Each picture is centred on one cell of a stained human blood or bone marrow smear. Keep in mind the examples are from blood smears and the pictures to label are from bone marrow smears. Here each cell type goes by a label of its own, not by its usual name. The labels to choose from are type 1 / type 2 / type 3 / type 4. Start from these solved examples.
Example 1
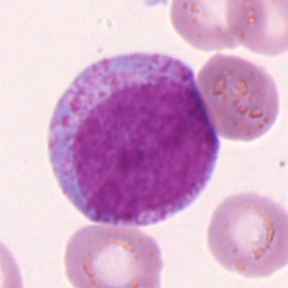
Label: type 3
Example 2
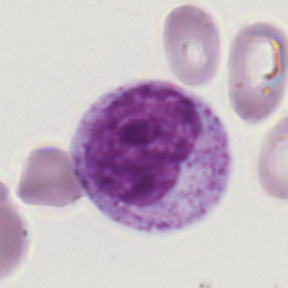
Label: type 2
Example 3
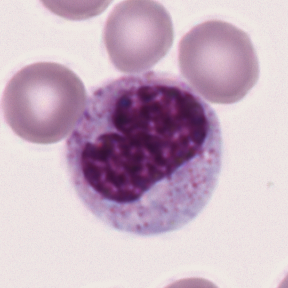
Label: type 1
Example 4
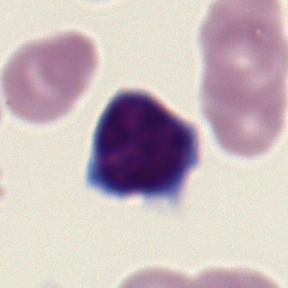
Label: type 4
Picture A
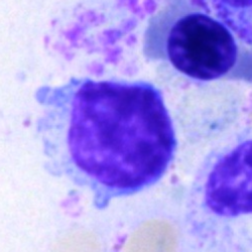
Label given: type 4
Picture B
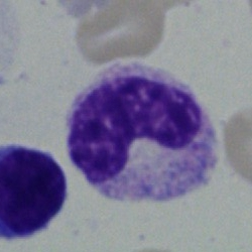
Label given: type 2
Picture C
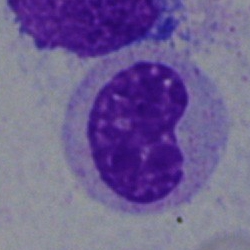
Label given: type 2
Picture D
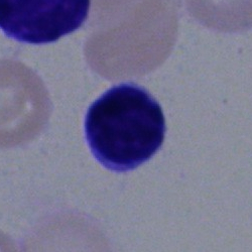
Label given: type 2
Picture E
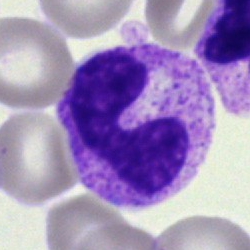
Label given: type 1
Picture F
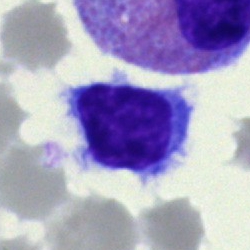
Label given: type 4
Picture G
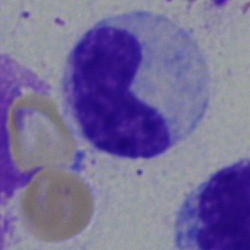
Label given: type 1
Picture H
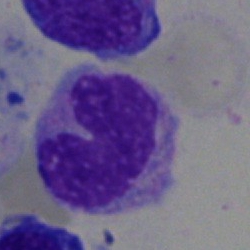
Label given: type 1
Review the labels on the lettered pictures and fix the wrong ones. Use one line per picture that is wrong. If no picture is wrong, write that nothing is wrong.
D: change type 2 to type 4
